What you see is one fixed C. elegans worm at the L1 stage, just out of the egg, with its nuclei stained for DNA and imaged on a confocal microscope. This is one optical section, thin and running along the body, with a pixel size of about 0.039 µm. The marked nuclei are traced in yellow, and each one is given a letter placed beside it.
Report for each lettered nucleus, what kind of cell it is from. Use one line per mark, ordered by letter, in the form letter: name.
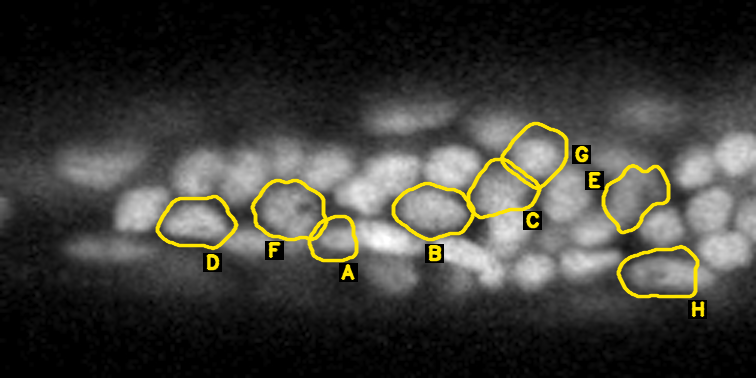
A: hypodermal cell (hyp)
B: neuron
C: neuron
D: hypodermal cell (hyp)
E: seam cell
F: seam cell
G: neuron
H: body wall muscle cell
